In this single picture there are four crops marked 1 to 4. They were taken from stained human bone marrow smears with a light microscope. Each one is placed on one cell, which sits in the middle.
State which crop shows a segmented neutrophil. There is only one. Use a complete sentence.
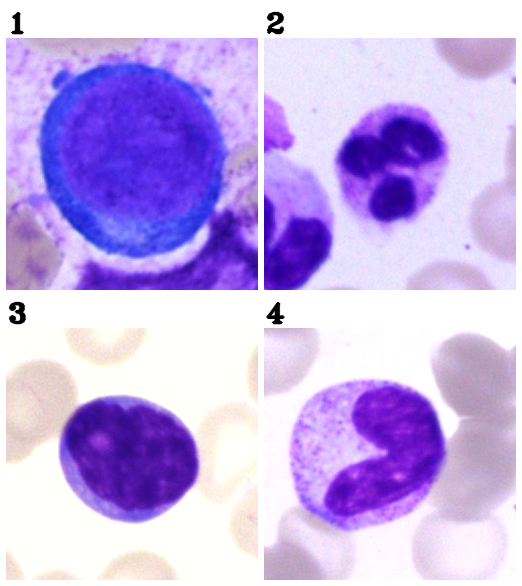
Within this set, crop 2 is the one with a segmented neutrophil at its center.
